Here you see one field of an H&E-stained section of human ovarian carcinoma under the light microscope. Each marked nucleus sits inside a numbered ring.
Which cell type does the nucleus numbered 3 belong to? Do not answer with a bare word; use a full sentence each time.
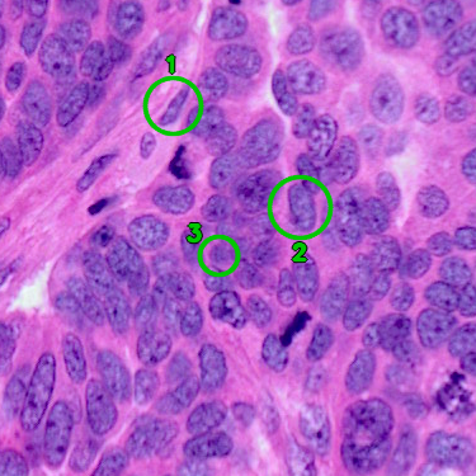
The cell marked with number 3 is a carcinoma cell.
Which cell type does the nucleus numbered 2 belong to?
Recognised here as a carcinoma cell is the cell numbered 2.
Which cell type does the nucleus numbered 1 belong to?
Here the cell numbered 1 is a fibroblast.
